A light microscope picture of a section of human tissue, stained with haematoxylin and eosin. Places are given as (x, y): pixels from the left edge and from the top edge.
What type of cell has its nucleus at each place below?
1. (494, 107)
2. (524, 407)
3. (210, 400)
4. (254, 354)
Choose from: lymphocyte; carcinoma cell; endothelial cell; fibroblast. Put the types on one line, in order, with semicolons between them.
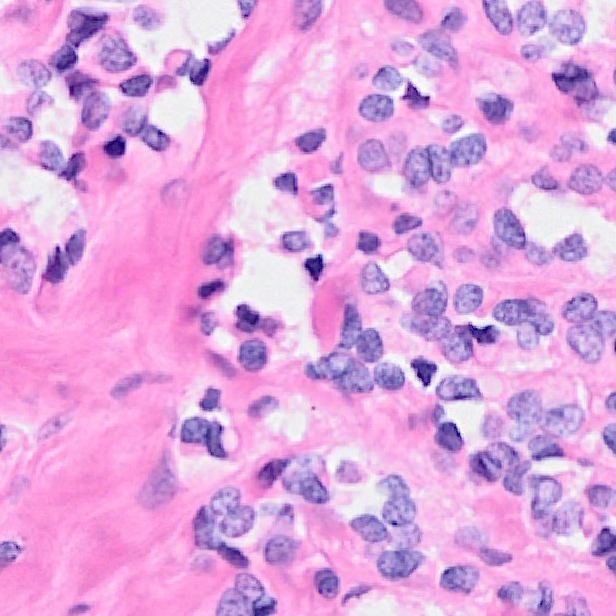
carcinoma cell; carcinoma cell; lymphocyte; carcinoma cell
